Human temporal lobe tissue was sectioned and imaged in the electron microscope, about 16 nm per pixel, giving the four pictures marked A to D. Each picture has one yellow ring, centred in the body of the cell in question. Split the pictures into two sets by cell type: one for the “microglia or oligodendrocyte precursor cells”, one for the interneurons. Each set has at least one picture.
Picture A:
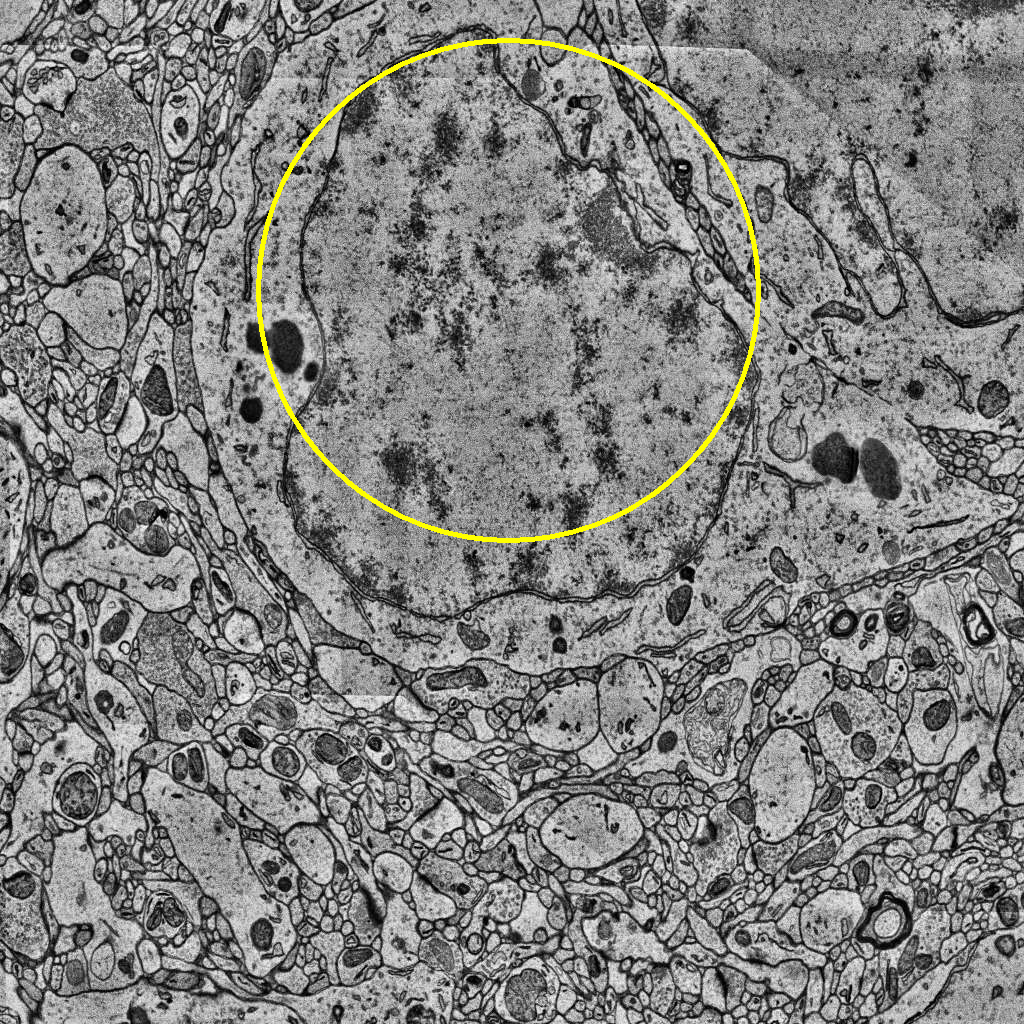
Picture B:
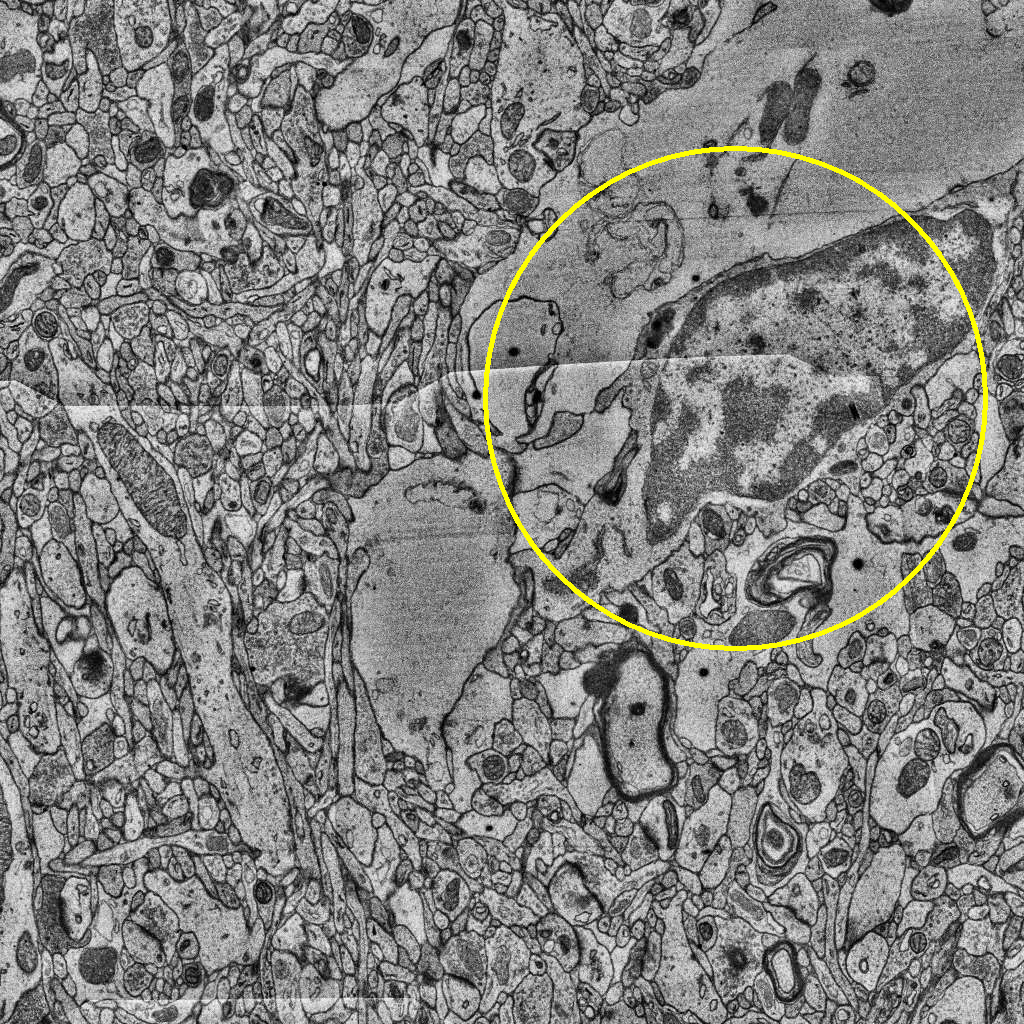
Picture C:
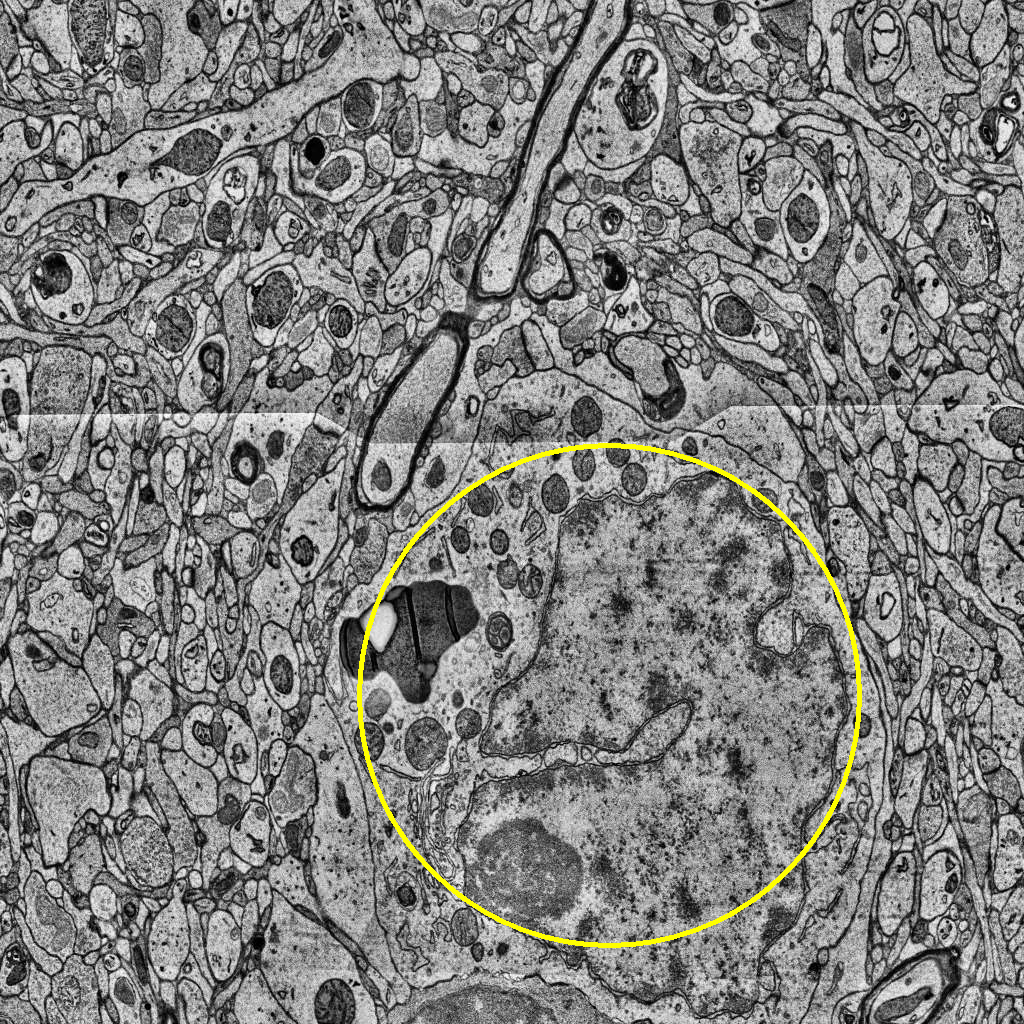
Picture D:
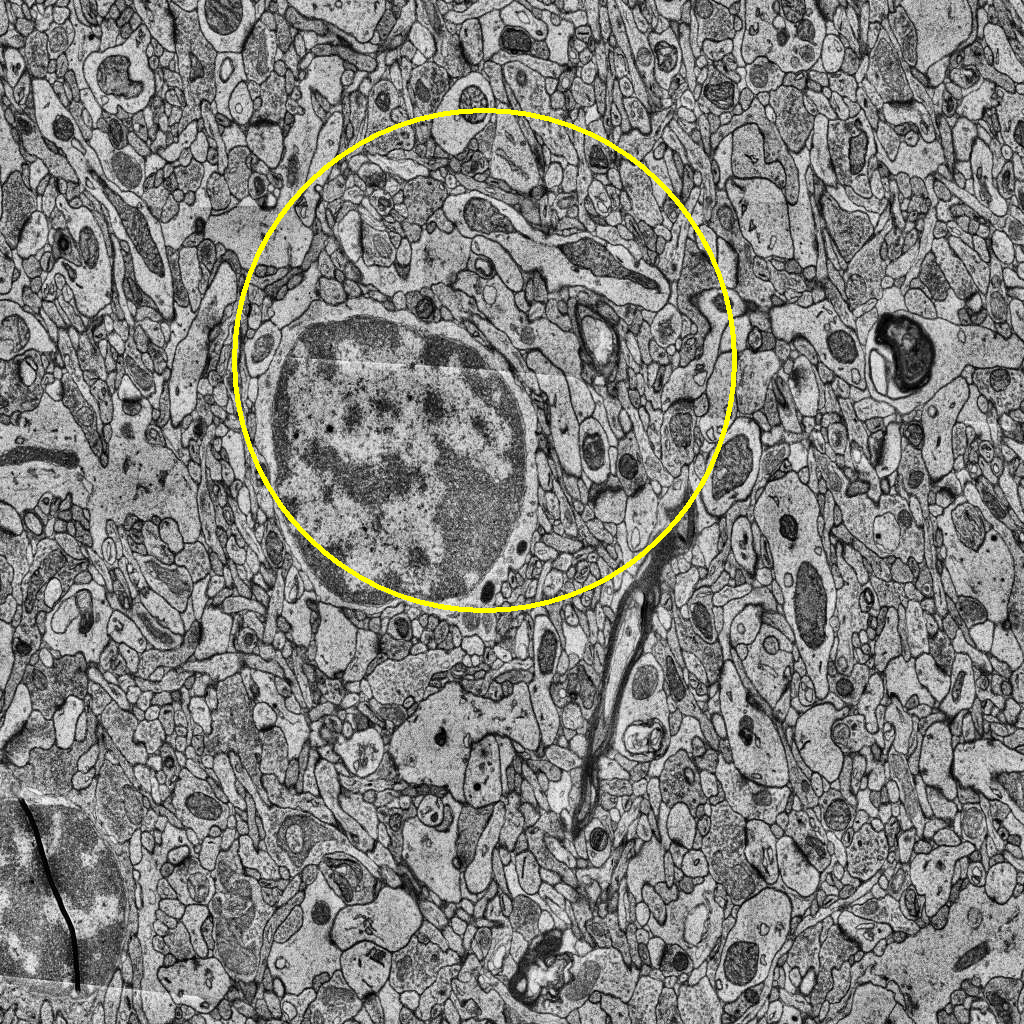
Pictures B and D show “microglia or oligodendrocyte precursor cells”, while pictures A and C show interneurons.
